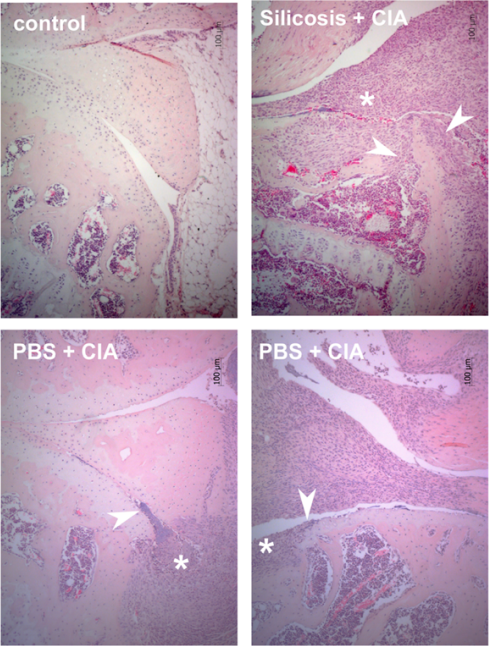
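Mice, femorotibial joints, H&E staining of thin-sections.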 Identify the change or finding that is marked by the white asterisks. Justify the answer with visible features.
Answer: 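The asterisks lie in areas densely packed with small purple-staining nuclei. These dense cellular areas are absent from the upper left image.
Answer: inflammatory infiltrates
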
